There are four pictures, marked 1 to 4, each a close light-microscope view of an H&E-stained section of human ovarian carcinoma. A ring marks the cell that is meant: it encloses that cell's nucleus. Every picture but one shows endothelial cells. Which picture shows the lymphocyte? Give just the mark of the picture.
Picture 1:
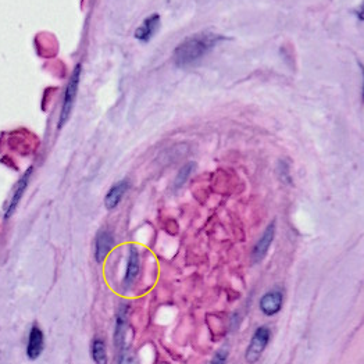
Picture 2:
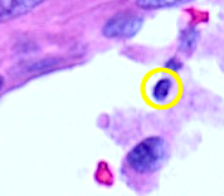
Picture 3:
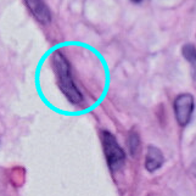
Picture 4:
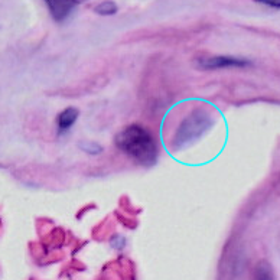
2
